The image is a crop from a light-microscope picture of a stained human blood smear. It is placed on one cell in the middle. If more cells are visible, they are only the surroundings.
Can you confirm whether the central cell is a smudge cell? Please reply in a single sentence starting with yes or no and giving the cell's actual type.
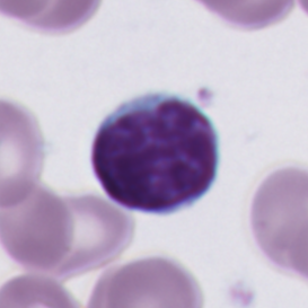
No, the cell found centrally in the crop is a typical lymphocyte, not a smudge cell.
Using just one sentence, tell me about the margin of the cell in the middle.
Around its whole circumference the outline stays smooth, free of projections.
